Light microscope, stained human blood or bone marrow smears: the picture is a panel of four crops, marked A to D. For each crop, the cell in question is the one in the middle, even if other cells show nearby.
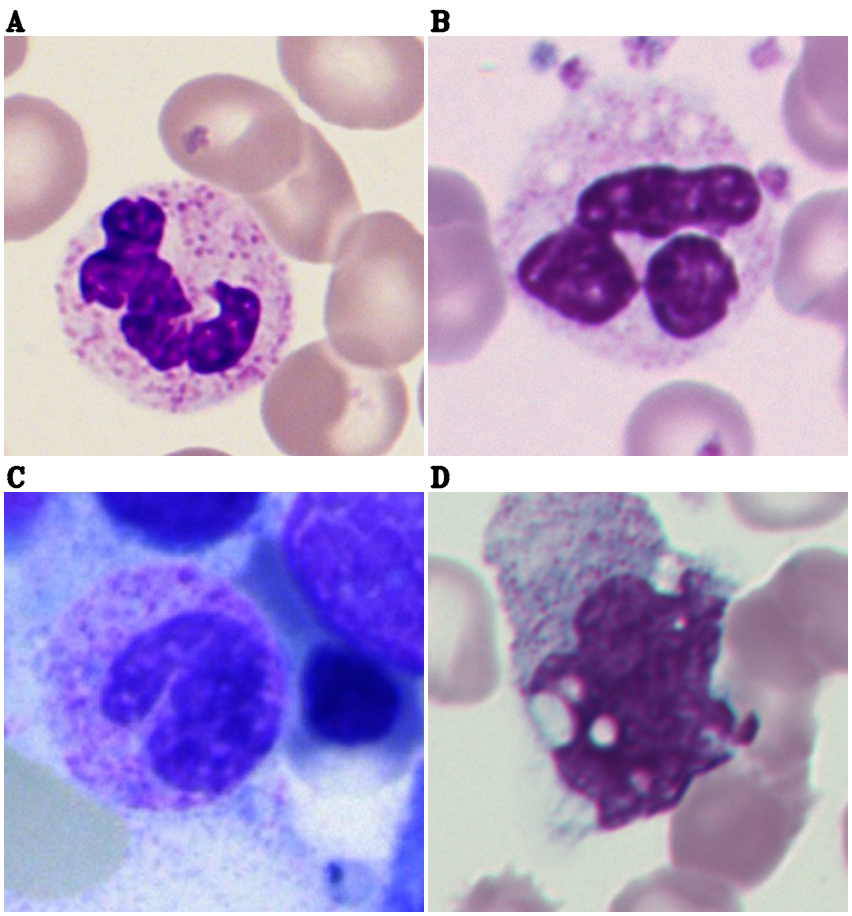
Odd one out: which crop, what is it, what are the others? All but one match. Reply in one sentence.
With the other crops all showing segmented neutrophils, crop D differs by showing a monocyte.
